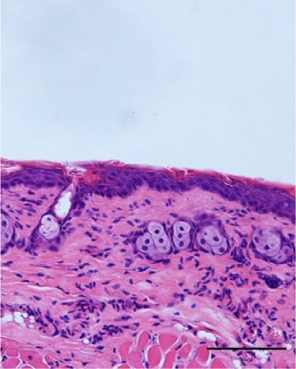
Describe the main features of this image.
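Just beneath it sit clusters of sebaceous gland cells, large and pale with foamy cytoplasm and central nuclei. Near the bottom, a band of pink skeletal muscle appears close under the dermis, without an obvious fat layer.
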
